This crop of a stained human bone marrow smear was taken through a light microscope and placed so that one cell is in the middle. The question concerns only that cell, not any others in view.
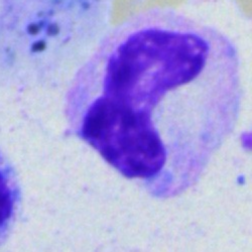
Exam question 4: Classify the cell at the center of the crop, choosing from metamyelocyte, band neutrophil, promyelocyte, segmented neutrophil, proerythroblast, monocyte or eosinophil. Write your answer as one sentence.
The cell in the middle of the field of view is a band neutrophil.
